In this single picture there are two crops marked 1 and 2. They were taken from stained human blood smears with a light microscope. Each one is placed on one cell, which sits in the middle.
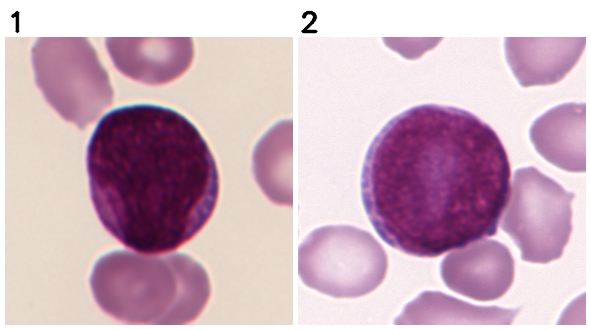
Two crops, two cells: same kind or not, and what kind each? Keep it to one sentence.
Yes, in short, both crops show myeloblasts.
